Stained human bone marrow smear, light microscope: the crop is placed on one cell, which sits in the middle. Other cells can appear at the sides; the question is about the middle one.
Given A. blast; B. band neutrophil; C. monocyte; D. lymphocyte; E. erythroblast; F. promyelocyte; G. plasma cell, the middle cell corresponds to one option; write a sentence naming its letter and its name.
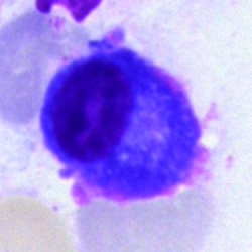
Since the cell in the middle is a plasma cell, option G is correct.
